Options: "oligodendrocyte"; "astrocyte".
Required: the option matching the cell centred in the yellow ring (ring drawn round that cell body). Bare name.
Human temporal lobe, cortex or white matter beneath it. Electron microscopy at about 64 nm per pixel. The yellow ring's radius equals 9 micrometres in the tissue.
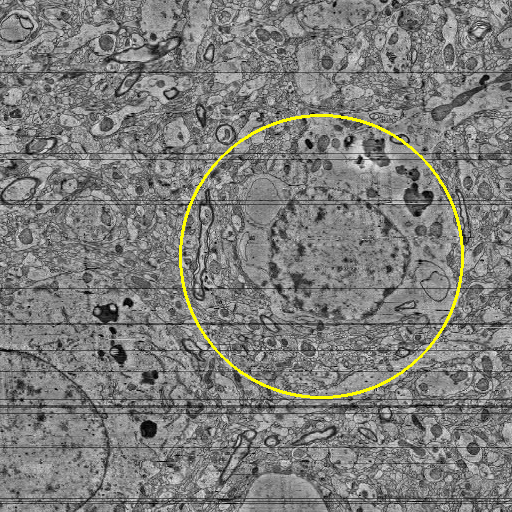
astrocyte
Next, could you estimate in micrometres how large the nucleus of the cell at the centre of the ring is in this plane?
Roughly 9 micrometres across, measured in this plane.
